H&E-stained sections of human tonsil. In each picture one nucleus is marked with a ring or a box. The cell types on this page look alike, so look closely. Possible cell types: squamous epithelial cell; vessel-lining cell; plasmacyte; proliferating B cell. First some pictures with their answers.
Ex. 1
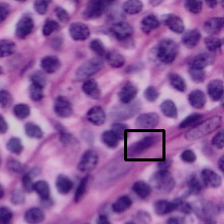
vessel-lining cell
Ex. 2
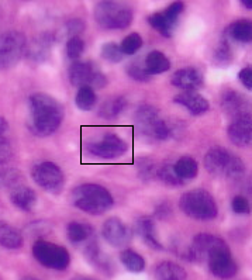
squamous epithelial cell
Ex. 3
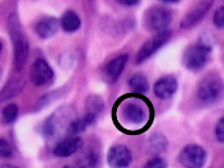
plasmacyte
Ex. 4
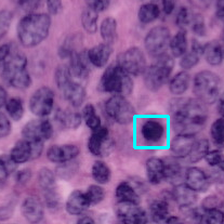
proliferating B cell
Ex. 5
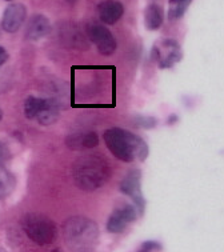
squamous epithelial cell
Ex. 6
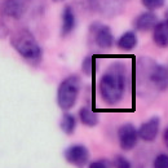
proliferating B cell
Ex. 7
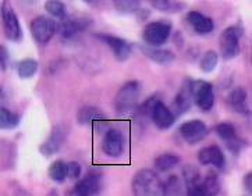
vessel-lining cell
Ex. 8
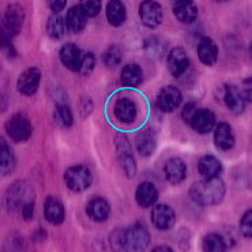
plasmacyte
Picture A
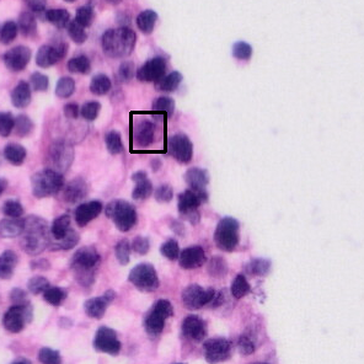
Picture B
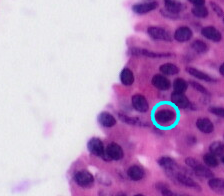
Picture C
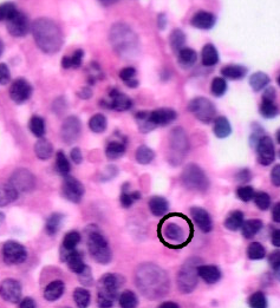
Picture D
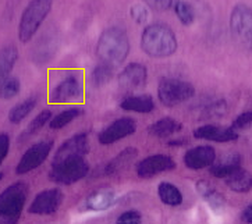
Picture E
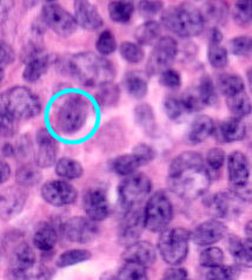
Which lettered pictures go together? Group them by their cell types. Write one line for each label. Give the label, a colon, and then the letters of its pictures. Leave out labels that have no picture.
squamous epithelial cell: D
vessel-lining cell: C
plasmacyte: B
proliferating B cell: A, E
